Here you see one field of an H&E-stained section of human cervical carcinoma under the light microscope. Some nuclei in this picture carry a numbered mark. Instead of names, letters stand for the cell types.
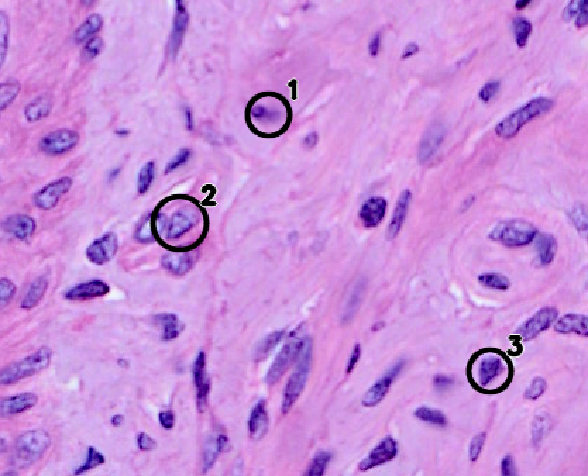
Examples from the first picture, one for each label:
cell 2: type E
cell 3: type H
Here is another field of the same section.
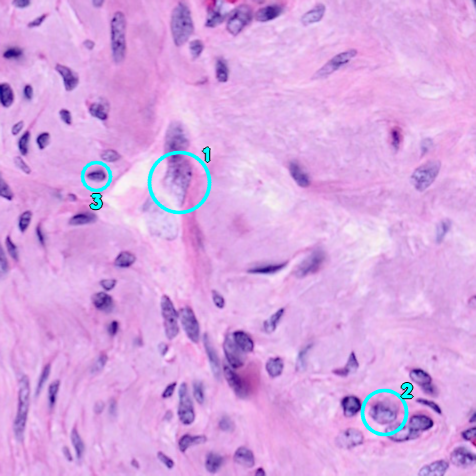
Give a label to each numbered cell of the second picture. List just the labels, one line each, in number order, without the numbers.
type E
type E
type H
